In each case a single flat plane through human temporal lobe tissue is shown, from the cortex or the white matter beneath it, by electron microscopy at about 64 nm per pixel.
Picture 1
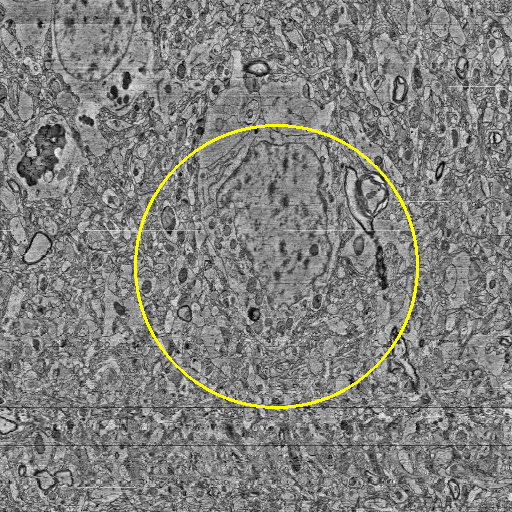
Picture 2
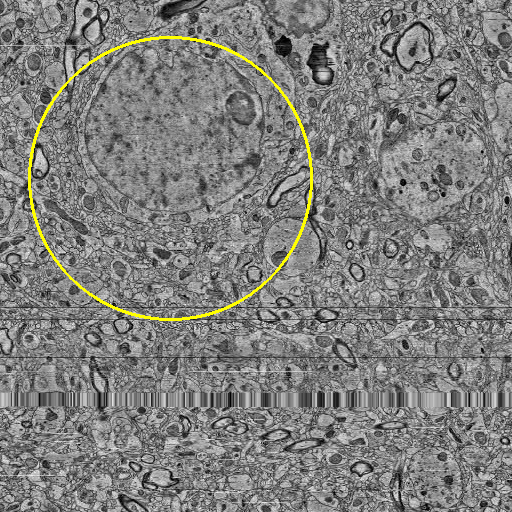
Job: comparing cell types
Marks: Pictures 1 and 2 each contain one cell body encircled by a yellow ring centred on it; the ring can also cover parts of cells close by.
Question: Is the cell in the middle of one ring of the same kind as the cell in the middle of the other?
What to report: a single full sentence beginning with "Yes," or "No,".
Yes, the cell at the ring centre in Picture 1 and its partner in Picture 2 are of one kind.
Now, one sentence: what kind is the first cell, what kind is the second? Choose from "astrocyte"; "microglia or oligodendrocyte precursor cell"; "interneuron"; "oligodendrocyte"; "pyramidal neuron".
The cell in the first picture is an interneuron, and so is the one in the second.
